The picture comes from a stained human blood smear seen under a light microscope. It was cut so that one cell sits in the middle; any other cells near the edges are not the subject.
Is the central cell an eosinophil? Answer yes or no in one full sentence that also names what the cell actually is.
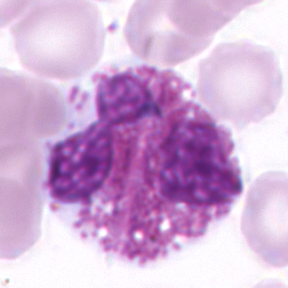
Yes, what sits in the middle of the crop is an eosinophil.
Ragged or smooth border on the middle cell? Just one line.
Irregular and not smooth, the cell boundary is ragged or drawn out into projections.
